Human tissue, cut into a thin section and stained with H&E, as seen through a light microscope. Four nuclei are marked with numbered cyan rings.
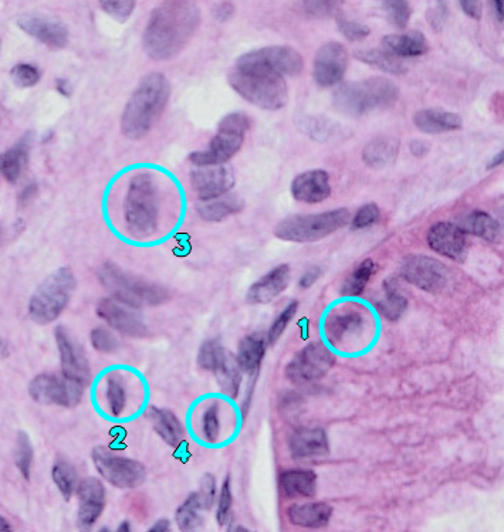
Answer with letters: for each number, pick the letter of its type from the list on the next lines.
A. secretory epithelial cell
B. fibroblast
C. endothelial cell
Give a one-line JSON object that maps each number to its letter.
{"1": "A", "2": "B", "3": "B", "4": "B"}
